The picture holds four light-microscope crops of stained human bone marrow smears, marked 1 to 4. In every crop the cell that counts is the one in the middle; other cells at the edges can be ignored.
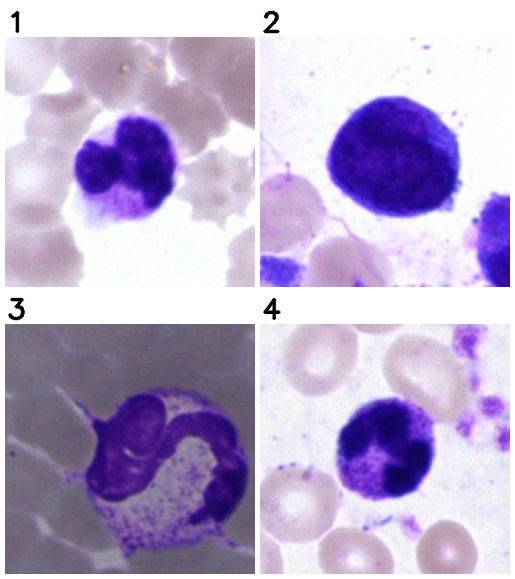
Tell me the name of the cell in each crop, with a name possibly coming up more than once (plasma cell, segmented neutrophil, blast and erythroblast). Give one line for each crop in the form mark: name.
1: segmented neutrophil
2: blast
3: segmented neutrophil
4: segmented neutrophil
